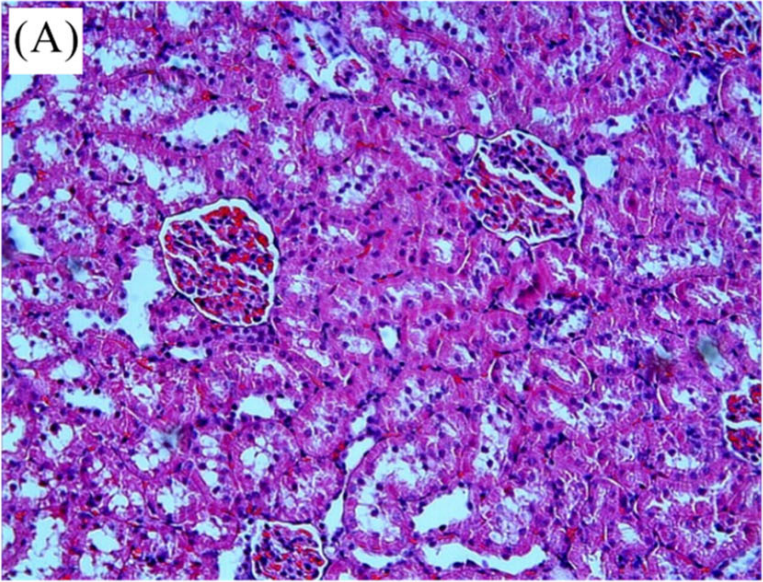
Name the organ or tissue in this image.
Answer: Kidney.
